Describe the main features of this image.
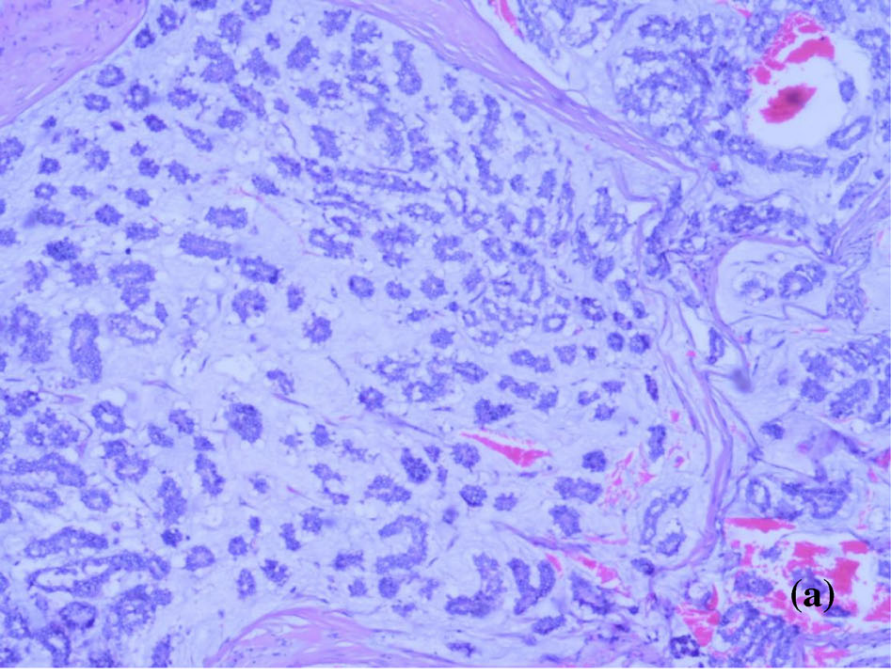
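At this lower power we see a tumor made of many small clusters of tumor cells lying in large pools of pale, mucin-filled stroma. Bands of pink fibrous tissue divide the mucin into separate compartments, running along the top and down the right side. At the right, bright red spaces filled with red blood cells mark small vessels or haemorrhage among the clusters. The cell clusters stain purple from their crowded nuclei against the pale background.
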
